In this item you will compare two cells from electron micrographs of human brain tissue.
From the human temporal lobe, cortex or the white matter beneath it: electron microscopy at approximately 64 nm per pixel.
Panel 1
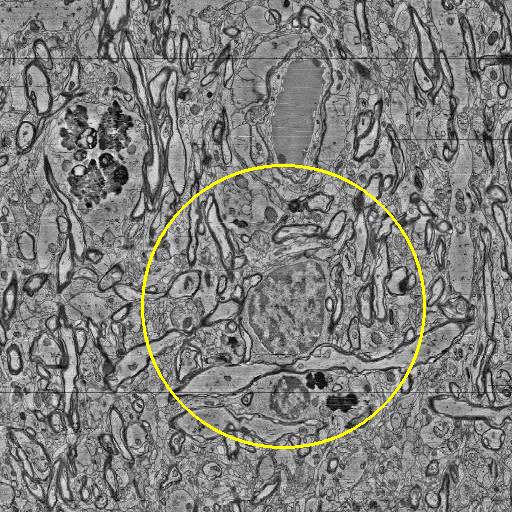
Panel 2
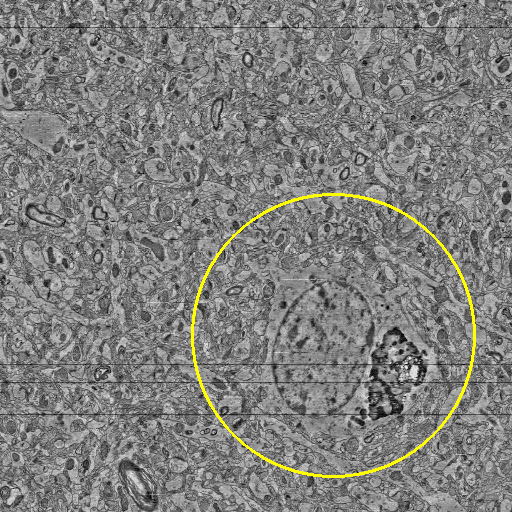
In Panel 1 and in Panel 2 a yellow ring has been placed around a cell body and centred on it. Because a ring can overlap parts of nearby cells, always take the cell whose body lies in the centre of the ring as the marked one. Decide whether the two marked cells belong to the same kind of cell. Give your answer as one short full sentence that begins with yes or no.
No, the two marked cells belong to two kinds of cell.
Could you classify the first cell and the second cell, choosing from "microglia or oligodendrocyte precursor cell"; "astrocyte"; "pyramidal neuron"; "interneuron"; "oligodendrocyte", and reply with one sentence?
The second cell is an astrocyte, while the first is an oligodendrocyte.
